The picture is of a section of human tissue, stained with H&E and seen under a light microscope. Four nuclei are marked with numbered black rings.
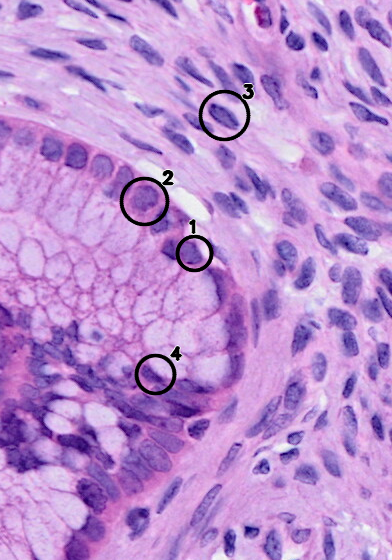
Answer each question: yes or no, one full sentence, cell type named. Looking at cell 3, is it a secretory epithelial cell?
No, cell 3 does not count as a secretory epithelial cell; it is a fibroblast.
